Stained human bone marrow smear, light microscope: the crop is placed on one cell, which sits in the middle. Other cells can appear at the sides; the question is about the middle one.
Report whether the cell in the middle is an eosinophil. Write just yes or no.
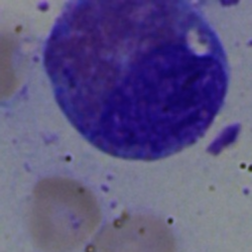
yes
